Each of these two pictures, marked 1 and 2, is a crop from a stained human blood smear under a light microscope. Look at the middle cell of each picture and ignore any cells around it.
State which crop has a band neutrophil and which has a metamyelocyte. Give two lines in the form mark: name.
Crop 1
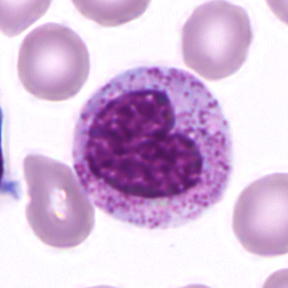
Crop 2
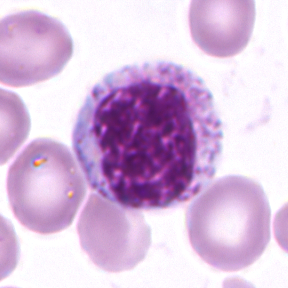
1: band neutrophil
2: metamyelocyte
